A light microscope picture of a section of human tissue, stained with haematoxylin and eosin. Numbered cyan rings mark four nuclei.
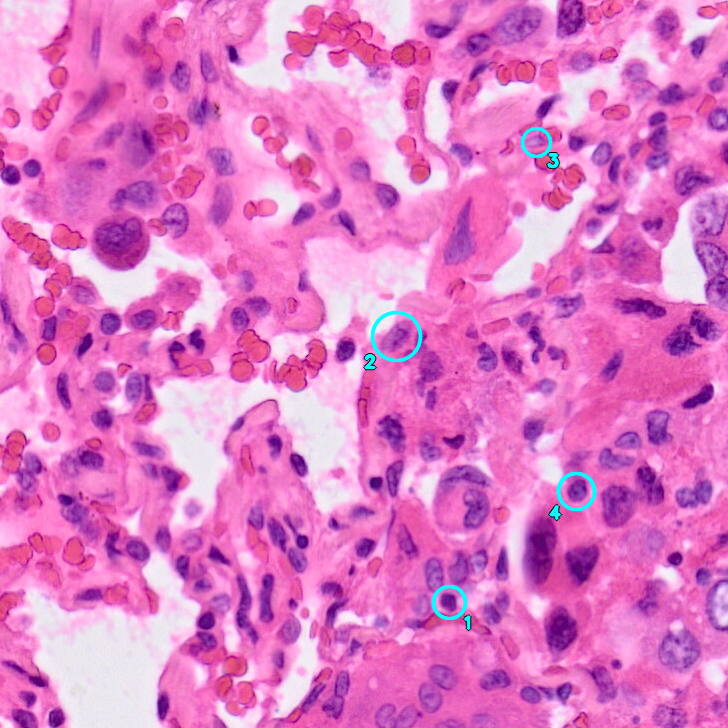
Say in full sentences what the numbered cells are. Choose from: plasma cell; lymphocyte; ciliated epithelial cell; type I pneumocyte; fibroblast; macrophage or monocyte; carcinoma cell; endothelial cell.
Cells 1 and 4 are lymphocytes. Cell 2 is a type I pneumocyte. Cell 3 is an endothelial cell.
